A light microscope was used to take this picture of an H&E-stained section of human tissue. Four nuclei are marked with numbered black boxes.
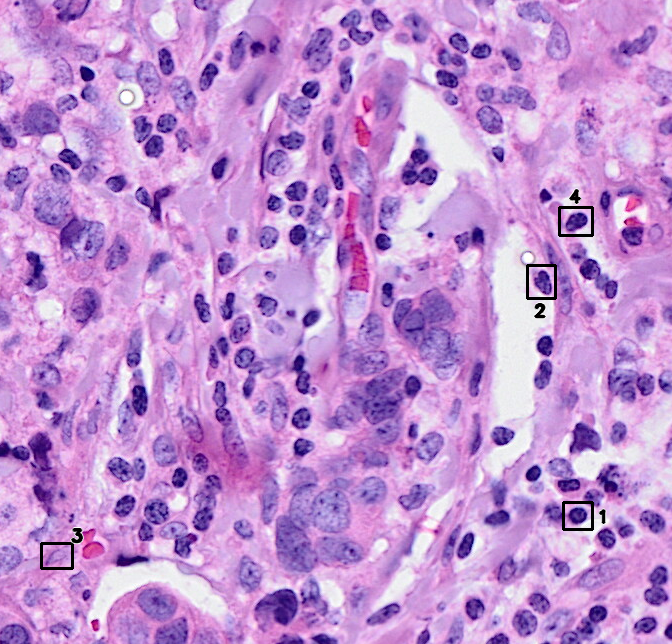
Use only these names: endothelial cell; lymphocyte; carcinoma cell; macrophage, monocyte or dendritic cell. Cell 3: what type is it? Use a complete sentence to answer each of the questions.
Denoted by the label 3 in the section is an endothelial cell.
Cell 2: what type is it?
The marked cell bearing number 2 is a lymphocyte.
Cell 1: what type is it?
The cell that carries the label 1 is a lymphocyte.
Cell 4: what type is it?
The cell marked with the number 4 is a lymphocyte.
